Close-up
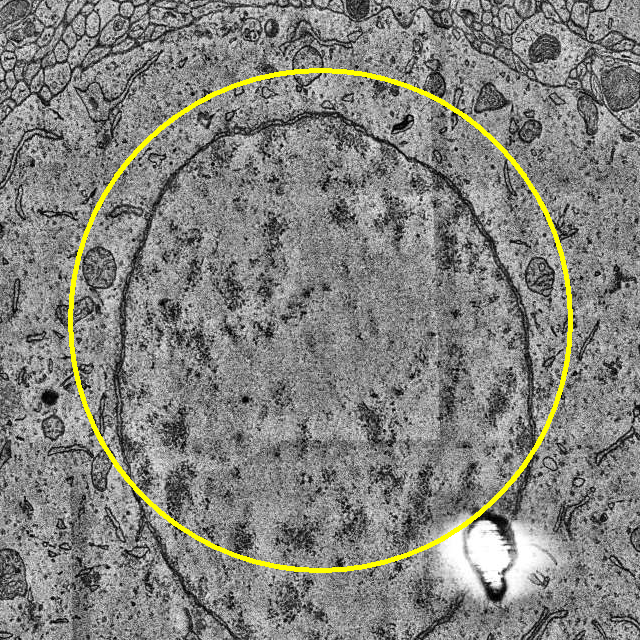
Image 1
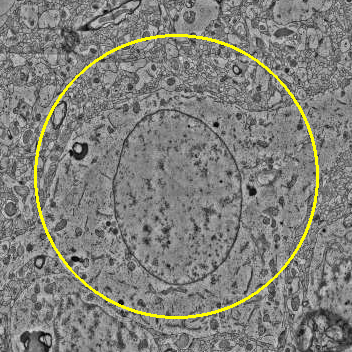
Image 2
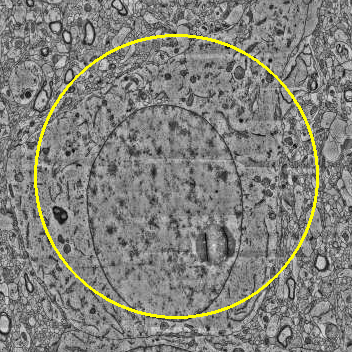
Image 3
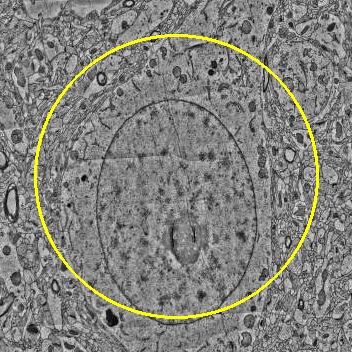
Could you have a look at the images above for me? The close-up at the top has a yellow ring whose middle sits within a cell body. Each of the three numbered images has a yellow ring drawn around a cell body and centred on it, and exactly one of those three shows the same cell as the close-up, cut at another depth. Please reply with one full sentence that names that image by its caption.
The cell within the yellow ring of Image 1 is the one in the close-up.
